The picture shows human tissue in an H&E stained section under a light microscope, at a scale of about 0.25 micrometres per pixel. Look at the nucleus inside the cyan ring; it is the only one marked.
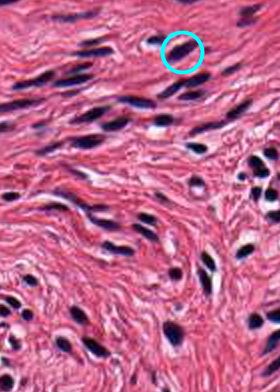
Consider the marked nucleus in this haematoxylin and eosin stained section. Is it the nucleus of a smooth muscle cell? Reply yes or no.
yes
